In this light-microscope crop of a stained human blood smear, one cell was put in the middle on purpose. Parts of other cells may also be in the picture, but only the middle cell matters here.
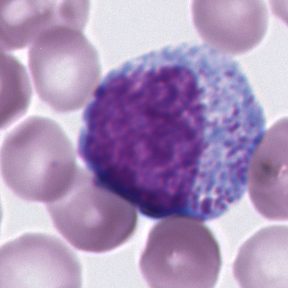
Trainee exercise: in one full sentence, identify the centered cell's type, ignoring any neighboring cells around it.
In the centre of this crop there is a promyelocyte.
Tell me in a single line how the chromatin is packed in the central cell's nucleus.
The chromatin shows a fine pattern without coarse clumps.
